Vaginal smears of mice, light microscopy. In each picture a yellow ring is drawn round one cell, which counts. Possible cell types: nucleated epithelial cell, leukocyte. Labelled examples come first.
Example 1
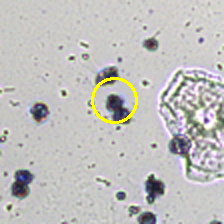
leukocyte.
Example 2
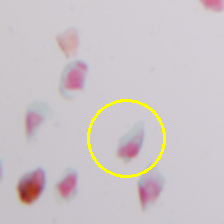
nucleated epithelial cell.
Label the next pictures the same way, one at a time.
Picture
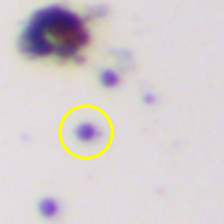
leukocyte.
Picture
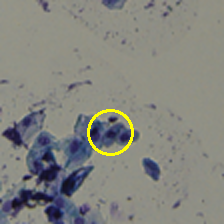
nucleated epithelial cell.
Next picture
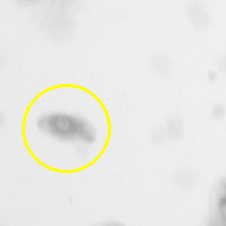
nucleated epithelial cell.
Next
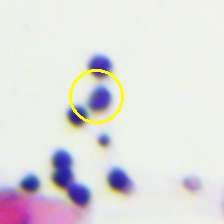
leukocyte.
